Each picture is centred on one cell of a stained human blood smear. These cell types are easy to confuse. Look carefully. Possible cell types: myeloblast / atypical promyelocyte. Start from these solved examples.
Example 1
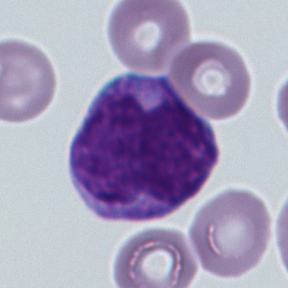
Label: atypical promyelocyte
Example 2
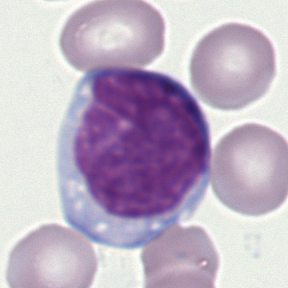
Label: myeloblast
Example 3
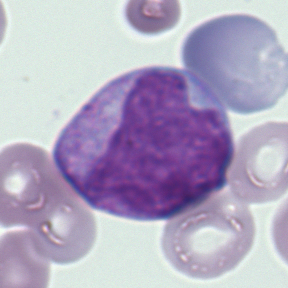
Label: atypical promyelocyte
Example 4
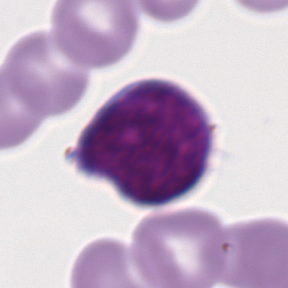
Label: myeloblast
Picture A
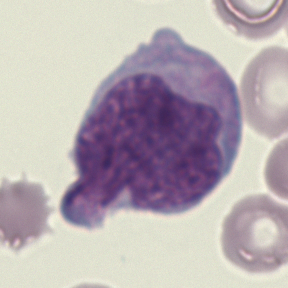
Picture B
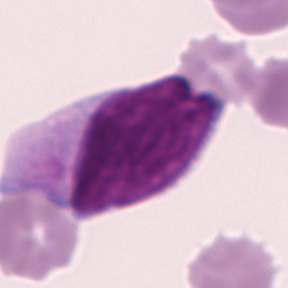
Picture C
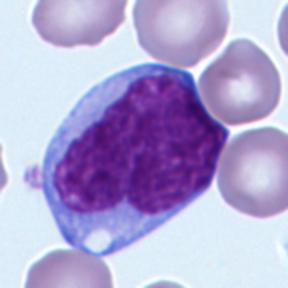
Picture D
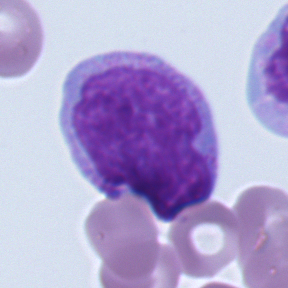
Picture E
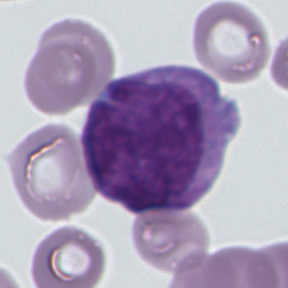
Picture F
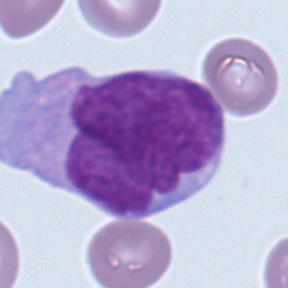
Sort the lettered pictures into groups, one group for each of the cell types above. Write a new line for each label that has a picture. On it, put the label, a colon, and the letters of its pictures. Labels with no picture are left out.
myeloblast: B, C
atypical promyelocyte: A, D, E, F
